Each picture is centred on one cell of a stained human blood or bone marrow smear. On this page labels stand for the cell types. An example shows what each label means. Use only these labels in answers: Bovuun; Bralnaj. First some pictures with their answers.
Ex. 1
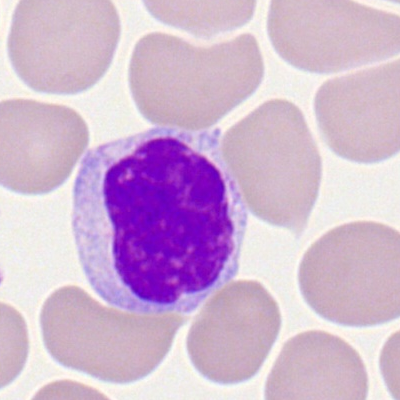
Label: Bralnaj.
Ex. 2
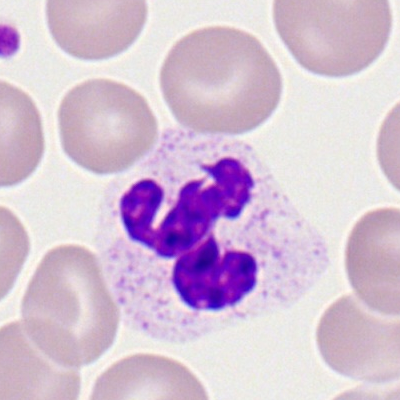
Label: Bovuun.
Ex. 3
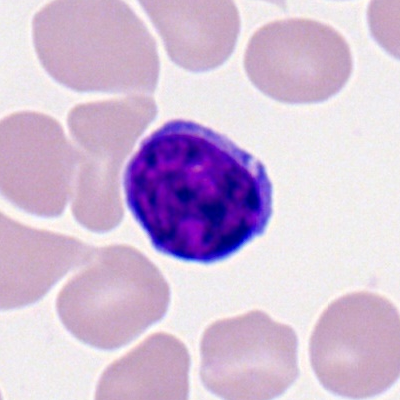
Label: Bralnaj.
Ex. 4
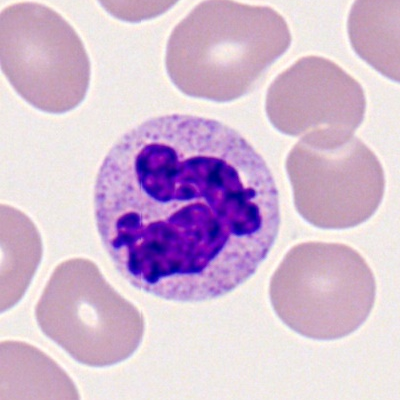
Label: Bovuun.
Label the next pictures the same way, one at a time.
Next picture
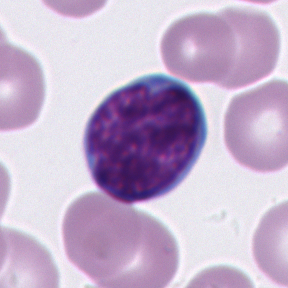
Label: Bralnaj.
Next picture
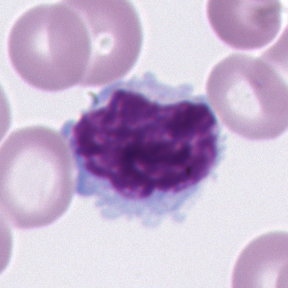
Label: Bralnaj.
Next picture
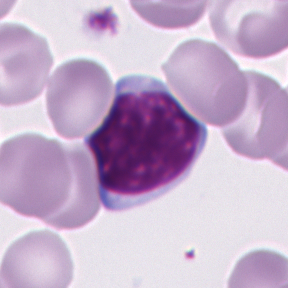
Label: Bralnaj.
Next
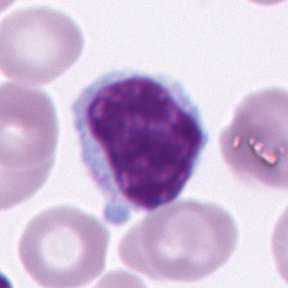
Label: Bralnaj.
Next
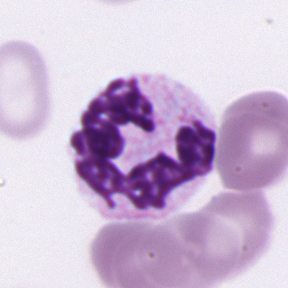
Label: Bovuun.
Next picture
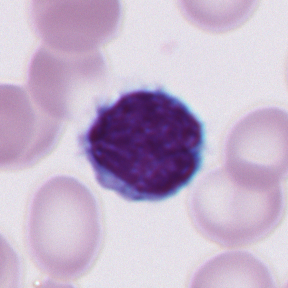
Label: Bralnaj.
